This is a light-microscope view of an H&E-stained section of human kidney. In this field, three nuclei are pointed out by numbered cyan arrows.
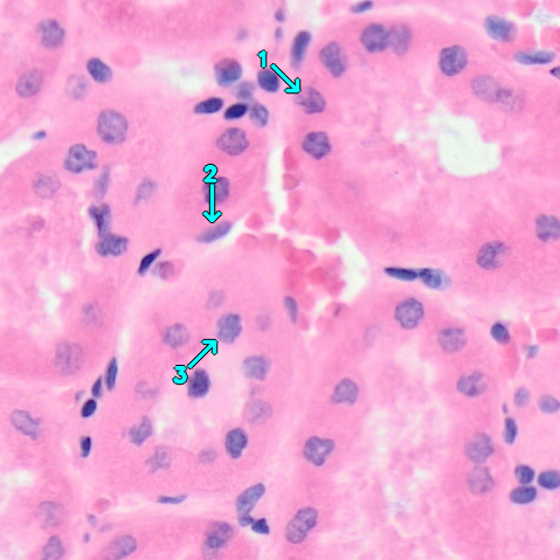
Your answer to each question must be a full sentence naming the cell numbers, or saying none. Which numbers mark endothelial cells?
Of all the cells bearing numbers, cell 2 is the only one that is an endothelial cell.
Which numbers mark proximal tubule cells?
Cell 1 is the only numbered cell that is a proximal tubule cell.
